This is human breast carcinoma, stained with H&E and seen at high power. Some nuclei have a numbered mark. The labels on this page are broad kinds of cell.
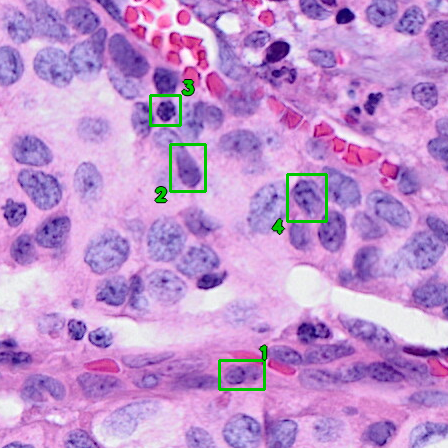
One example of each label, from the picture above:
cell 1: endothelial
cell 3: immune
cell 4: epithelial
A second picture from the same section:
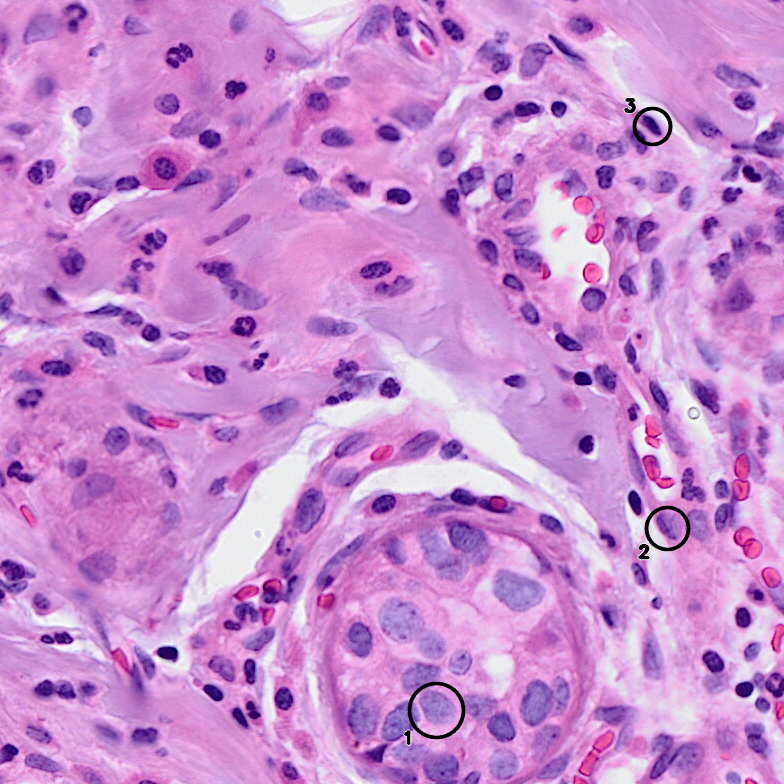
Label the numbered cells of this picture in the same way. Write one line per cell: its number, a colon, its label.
1: epithelial
2: endothelial
3: immune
